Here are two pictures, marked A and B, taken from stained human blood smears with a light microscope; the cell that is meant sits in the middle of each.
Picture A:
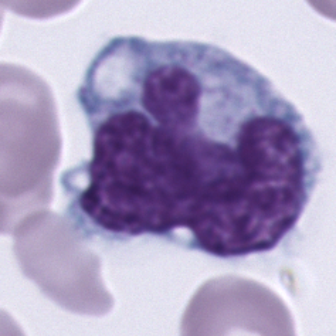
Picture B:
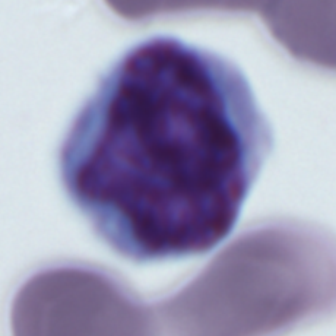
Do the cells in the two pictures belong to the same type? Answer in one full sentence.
Yes, the two pictures both show monocytes.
